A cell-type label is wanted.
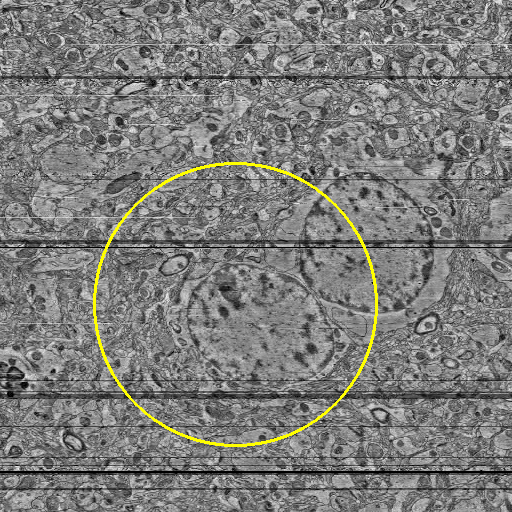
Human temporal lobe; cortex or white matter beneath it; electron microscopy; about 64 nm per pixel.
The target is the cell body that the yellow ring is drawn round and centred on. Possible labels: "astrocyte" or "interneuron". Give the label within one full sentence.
Of the labels offered, the cell in the middle of the yellow ring is an astrocyte.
